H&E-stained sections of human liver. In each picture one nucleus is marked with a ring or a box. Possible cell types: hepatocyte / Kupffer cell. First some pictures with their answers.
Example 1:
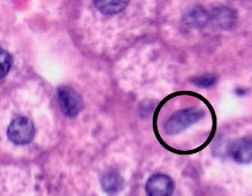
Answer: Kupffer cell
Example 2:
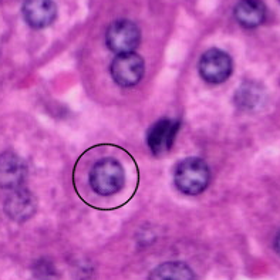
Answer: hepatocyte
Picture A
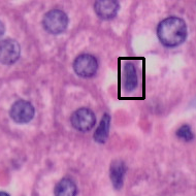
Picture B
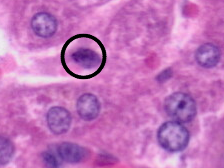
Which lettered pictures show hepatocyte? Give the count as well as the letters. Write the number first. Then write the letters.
0, none of them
